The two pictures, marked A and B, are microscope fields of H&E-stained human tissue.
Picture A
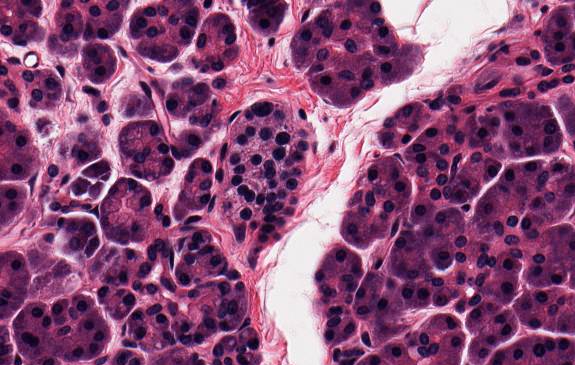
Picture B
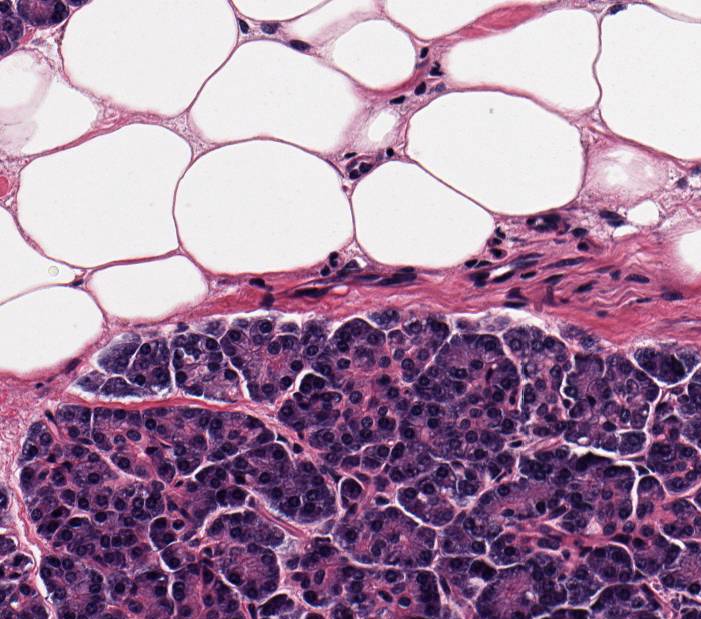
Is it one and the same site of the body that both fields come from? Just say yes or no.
yes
